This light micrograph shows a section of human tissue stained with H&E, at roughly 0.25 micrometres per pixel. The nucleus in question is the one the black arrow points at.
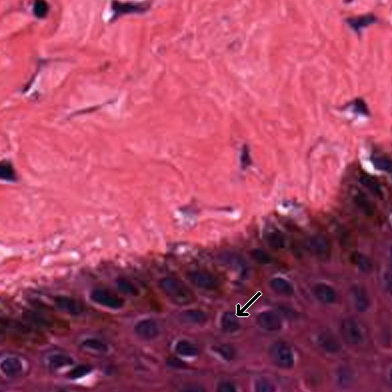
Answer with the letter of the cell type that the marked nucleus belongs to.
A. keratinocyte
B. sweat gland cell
A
